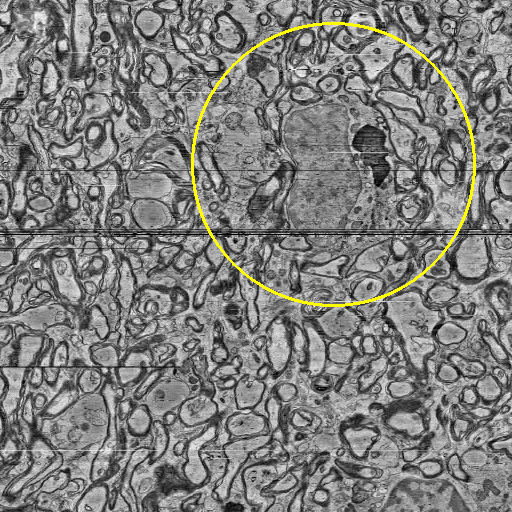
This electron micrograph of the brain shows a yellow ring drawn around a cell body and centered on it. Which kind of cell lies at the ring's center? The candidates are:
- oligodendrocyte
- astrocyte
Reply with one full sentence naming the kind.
The cell lying at the ring's center in this micrograph is an oligodendrocyte.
